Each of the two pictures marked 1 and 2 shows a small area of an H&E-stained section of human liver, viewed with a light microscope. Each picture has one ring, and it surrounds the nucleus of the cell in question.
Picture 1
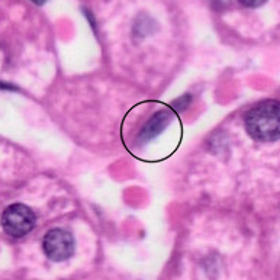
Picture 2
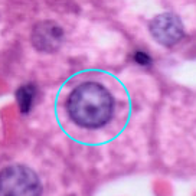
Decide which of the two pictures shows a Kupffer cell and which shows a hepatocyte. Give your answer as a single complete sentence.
In picture 1 the cell is a Kupffer cell; in picture 2, a hepatocyte.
